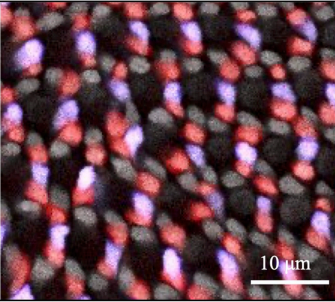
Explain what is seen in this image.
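Cone photoreceptor mosaic seen en face, with elongated red and bright gray profiles and blue profiles arranged in repeating oblique rows, dim round cells lying between them. The rows are regular over most of the field but their spacing and direction shift in one region.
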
